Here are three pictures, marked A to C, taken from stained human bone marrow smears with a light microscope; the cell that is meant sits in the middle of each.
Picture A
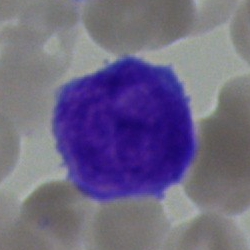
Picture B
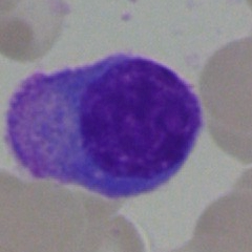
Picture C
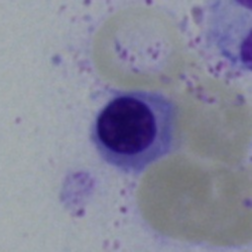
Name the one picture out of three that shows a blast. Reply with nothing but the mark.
A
